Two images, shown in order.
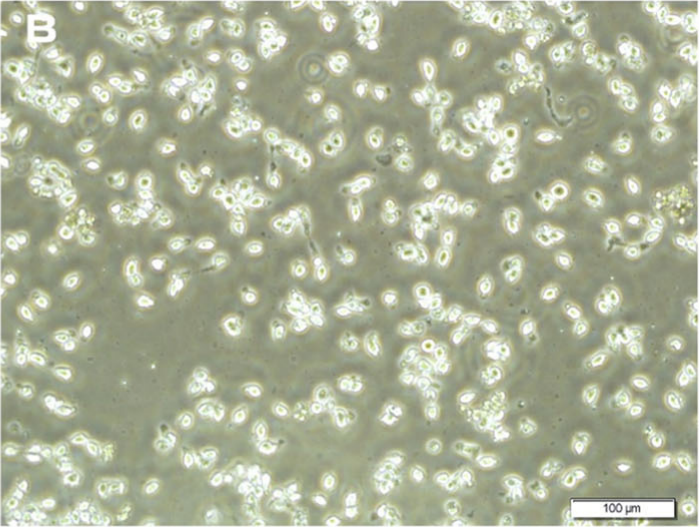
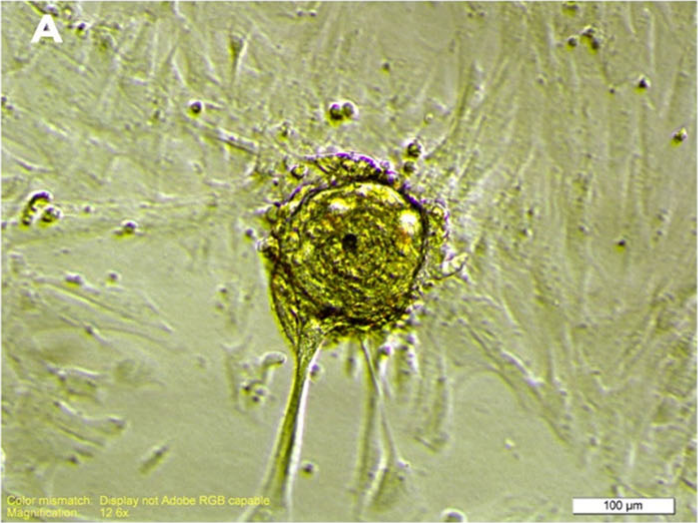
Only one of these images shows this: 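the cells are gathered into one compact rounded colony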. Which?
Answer: The second image.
